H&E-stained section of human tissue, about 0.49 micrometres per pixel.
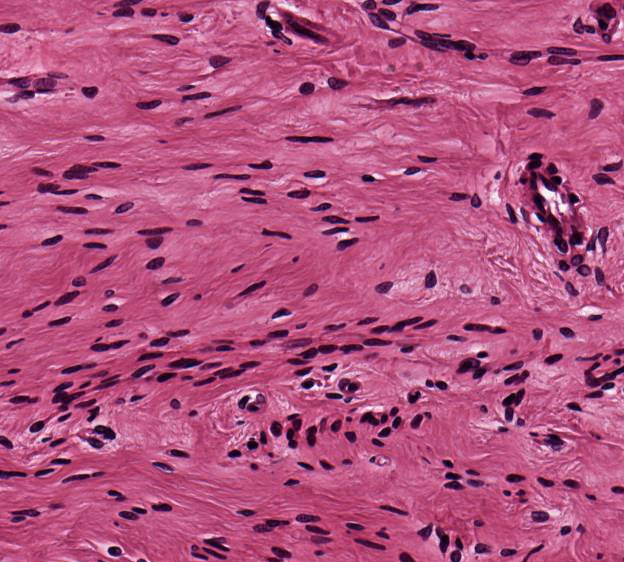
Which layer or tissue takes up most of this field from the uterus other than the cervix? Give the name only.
smooth muscle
